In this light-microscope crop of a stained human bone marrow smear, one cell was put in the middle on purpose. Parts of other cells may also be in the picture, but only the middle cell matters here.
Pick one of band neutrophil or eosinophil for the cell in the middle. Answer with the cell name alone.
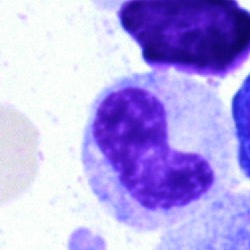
band neutrophil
